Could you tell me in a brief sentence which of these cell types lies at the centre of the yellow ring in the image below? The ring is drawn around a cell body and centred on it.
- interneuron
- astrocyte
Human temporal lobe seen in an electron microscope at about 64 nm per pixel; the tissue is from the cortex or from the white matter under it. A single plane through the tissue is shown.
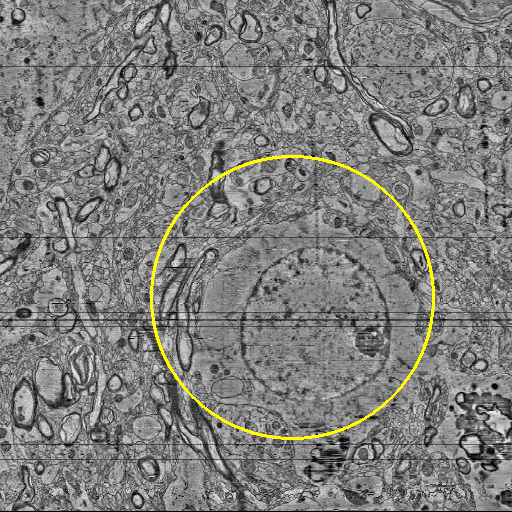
The cell centred in the ring is an astrocyte.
